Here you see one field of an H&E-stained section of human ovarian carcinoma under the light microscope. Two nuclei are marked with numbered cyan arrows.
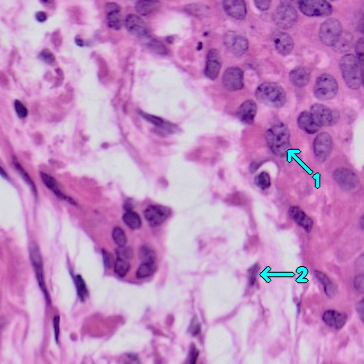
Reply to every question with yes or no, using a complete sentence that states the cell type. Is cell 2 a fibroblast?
Yes, the cell indicated by number 2 is a fibroblast.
